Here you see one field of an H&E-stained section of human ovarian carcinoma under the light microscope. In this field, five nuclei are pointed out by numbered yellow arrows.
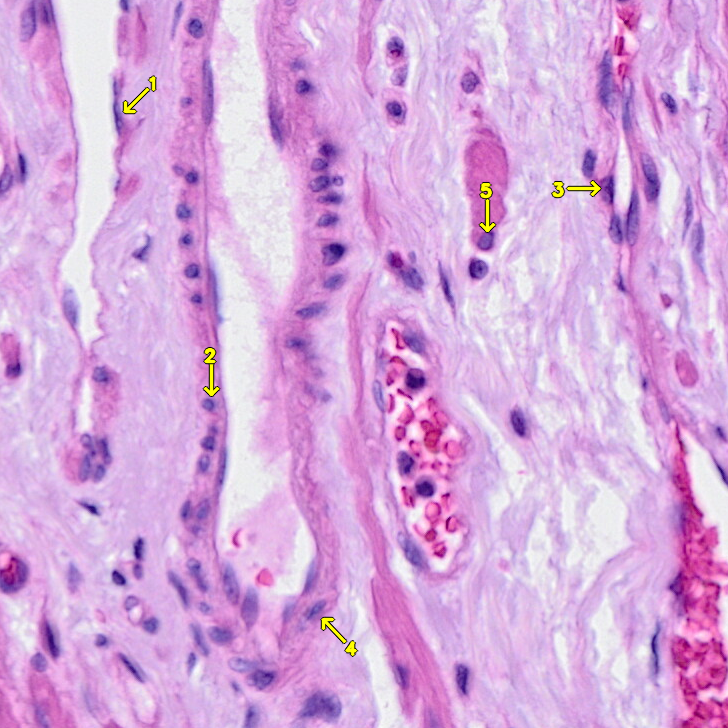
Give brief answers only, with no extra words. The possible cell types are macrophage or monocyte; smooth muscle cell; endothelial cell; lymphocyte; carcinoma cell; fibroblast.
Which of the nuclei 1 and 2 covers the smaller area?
2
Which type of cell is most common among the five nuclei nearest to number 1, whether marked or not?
endothelial cell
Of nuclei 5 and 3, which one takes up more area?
3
